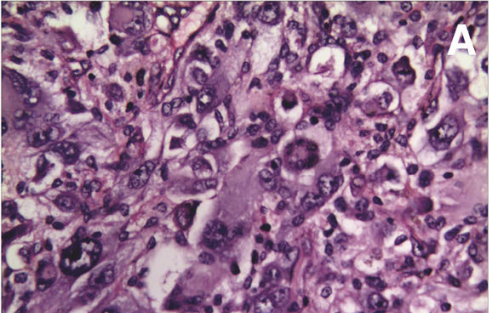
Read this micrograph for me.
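Tumor tissue made of pleomorphic cells of very different sizes, with scattered large tumor giant cells. The large cells have abundant pink to purple cytoplasm and big, irregular, hyperchromatic nuclei, several with a distinct nucleolus. Clear spaces and thin strands of pink stroma separate the cells, and smaller cells with dark nuclei lie between them.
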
